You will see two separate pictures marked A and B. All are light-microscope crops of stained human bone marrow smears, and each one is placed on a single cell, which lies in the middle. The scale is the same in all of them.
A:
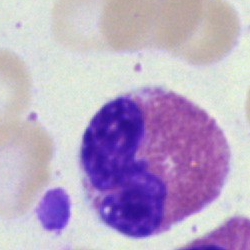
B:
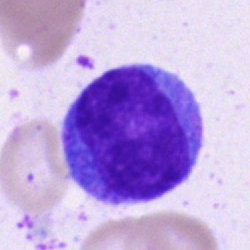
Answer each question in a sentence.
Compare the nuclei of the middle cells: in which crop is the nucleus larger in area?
It is the nucleus in crop B, about 1.5 times as large in area as the one in crop A.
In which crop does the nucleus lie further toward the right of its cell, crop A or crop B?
The nucleus in crop B lies further toward the right of its cell.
